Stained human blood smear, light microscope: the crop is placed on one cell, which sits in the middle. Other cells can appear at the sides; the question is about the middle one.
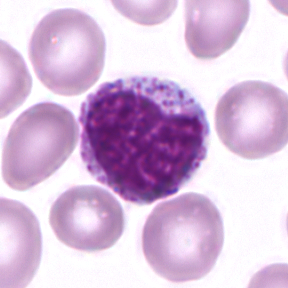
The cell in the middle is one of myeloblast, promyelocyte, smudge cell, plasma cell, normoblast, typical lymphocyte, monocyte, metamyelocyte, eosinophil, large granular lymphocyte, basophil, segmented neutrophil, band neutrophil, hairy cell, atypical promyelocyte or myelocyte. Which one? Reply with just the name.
metamyelocyte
